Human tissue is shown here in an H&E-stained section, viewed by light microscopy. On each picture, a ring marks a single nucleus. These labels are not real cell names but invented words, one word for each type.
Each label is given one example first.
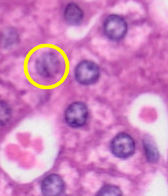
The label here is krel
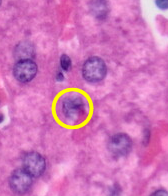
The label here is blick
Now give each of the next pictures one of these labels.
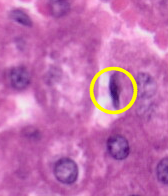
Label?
blick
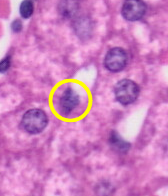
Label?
blick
